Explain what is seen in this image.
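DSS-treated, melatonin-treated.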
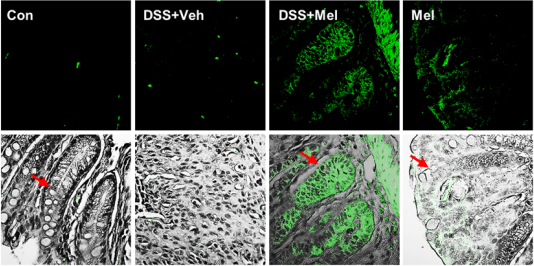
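In the better preserved fields, crypts are cut lengthwise or across and are lined by columnar epithelium interspersed with pale, rounded goblet cells. One field has lost its crypt architecture and shows densely packed cells in the stroma instead.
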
